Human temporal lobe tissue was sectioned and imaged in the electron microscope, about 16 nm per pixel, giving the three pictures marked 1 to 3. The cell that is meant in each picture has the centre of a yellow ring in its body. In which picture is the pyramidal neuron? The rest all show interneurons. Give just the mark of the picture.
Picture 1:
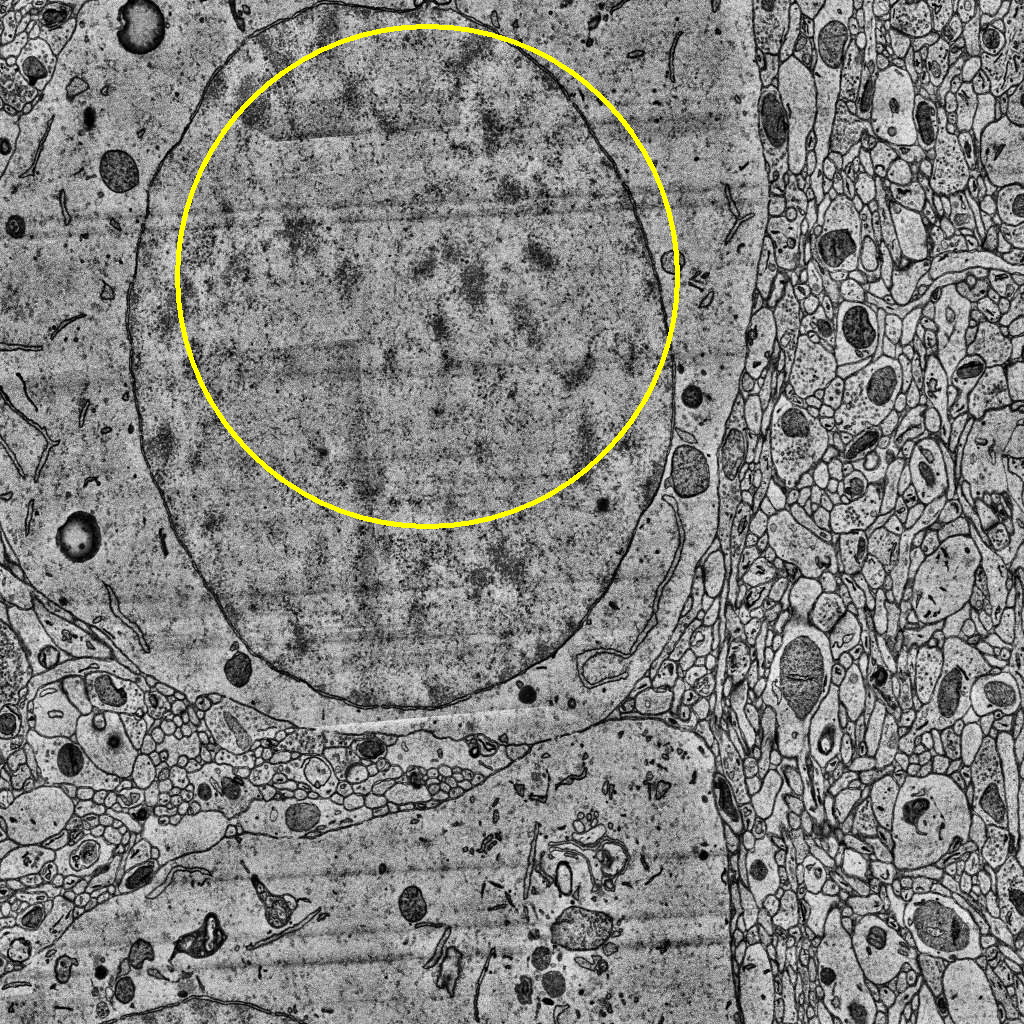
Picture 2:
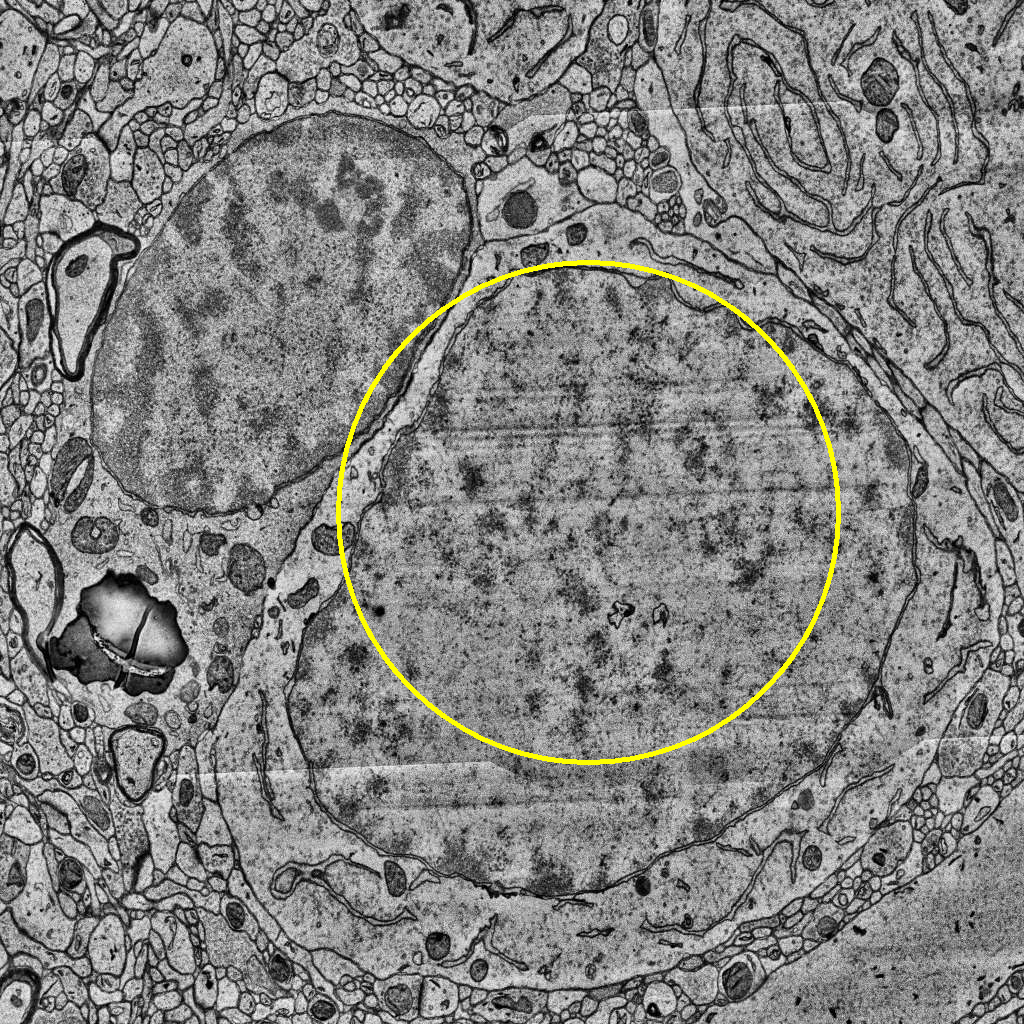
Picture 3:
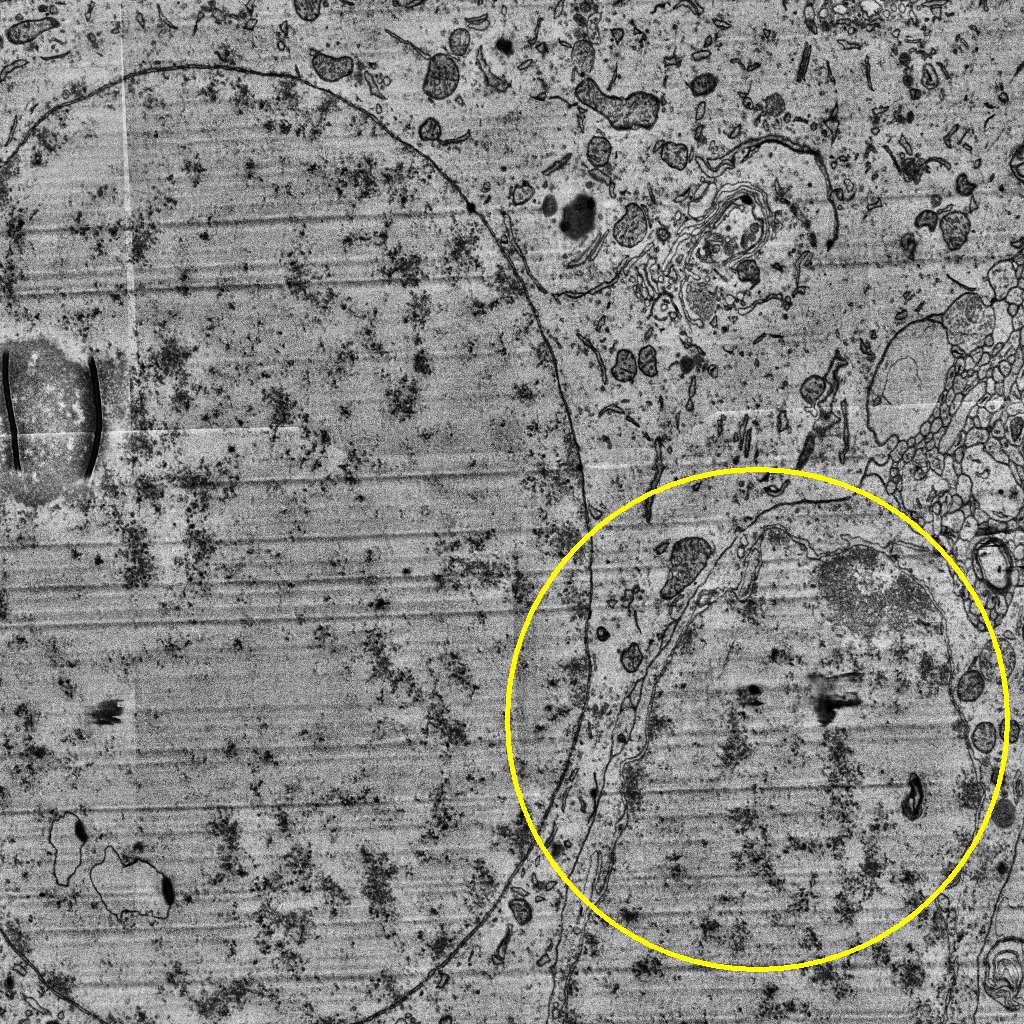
1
